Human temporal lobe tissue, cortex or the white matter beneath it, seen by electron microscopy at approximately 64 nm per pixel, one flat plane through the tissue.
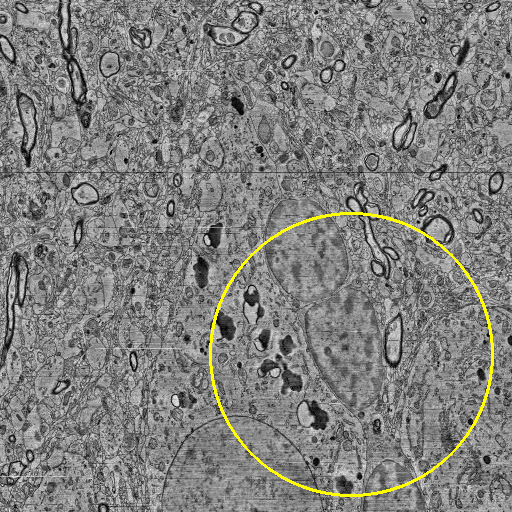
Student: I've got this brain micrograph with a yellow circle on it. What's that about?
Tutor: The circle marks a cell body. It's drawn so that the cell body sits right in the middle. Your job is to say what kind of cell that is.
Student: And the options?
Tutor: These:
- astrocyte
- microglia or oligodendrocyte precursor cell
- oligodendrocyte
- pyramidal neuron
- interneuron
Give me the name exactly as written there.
oligodendrocyte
